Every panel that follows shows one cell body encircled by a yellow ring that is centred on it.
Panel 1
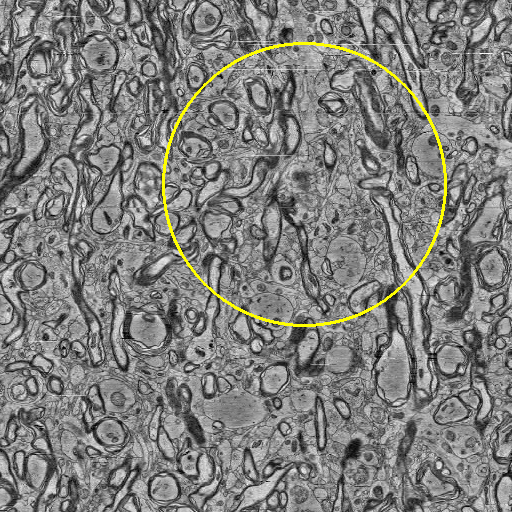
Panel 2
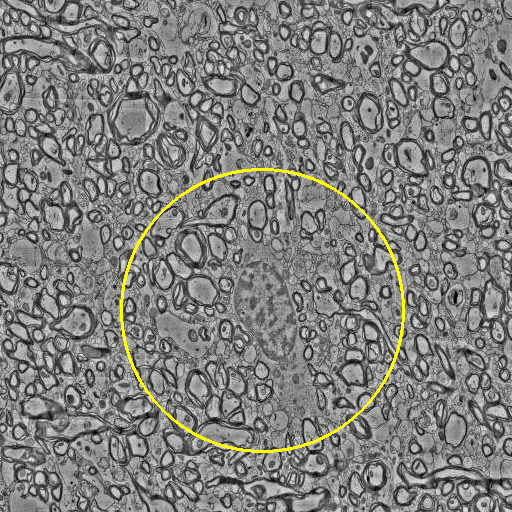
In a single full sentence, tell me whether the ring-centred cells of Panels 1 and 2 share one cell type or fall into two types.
In Panel 1 and Panel 2, the cells at the ring centres fall into two types.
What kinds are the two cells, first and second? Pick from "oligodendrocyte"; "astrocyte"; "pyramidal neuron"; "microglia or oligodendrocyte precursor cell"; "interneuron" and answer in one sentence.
The second picture holds an oligodendrocyte in its ring, and the first holds a microglial cell or oligodendrocyte precursor cell.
